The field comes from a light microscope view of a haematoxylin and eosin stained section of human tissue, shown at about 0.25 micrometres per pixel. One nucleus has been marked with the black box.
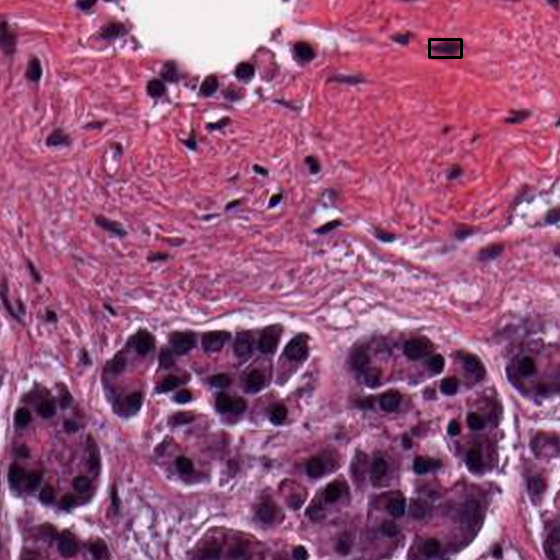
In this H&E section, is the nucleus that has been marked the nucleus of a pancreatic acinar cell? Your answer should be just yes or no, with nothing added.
no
